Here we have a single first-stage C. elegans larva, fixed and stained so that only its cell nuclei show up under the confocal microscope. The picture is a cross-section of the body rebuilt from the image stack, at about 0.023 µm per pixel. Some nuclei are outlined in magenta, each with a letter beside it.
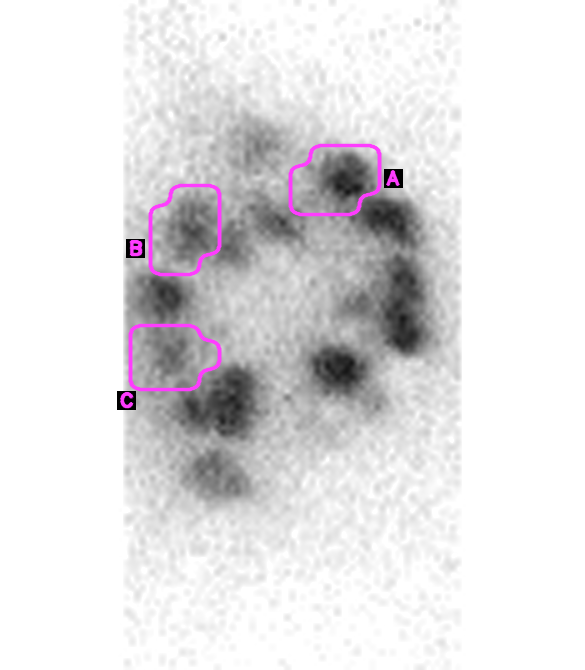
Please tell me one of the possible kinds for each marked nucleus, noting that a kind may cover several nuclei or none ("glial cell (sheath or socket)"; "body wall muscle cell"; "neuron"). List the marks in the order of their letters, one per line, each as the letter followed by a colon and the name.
A: body wall muscle cell
B: body wall muscle cell
C: neuron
